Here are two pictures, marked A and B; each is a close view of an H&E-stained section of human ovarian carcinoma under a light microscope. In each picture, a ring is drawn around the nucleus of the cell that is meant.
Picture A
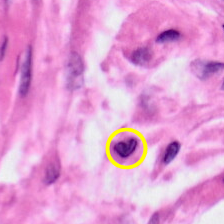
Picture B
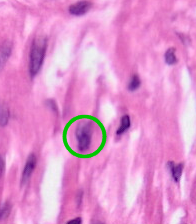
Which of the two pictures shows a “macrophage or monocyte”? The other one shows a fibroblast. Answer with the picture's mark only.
A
